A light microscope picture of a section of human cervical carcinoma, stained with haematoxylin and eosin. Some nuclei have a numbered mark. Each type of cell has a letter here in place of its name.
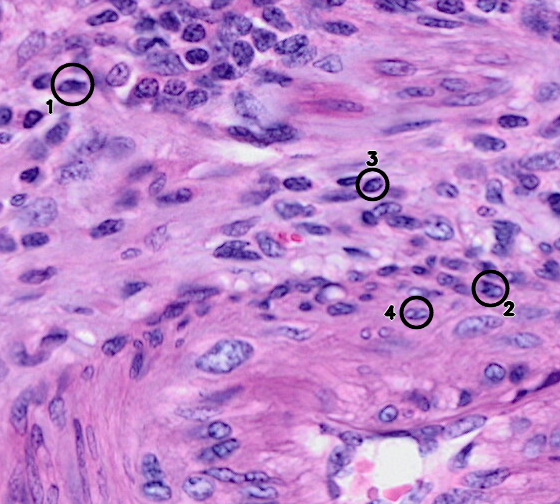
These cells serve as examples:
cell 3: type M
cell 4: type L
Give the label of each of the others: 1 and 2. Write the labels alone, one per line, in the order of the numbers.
type M
type L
